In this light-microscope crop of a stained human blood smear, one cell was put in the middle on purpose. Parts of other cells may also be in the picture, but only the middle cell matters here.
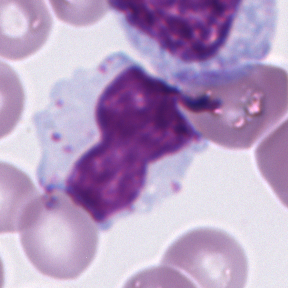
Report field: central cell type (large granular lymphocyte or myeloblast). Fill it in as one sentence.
In the center of this field lies a large granular lymphocyte.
